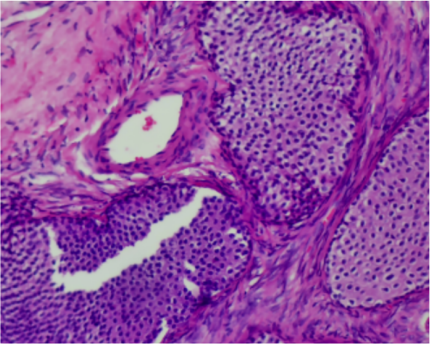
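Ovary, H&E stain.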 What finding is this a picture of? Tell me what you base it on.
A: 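Solid nests of bland epithelial cells set in fibrous stroma. Some nests have a central lumen-like space. No marked nuclear atypia is visible. So: benign Brenner tumor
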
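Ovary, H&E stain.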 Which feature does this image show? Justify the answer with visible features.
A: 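Rounded, well-demarcated nests of closely packed epithelial cells. Cells in the nests have uniform oval nuclei and pale cytoplasm. The nests are surrounded by pink spindle-cell stroma.
Nests of transitional-type epithelial cells.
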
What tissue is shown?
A: dense fibrous stroma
